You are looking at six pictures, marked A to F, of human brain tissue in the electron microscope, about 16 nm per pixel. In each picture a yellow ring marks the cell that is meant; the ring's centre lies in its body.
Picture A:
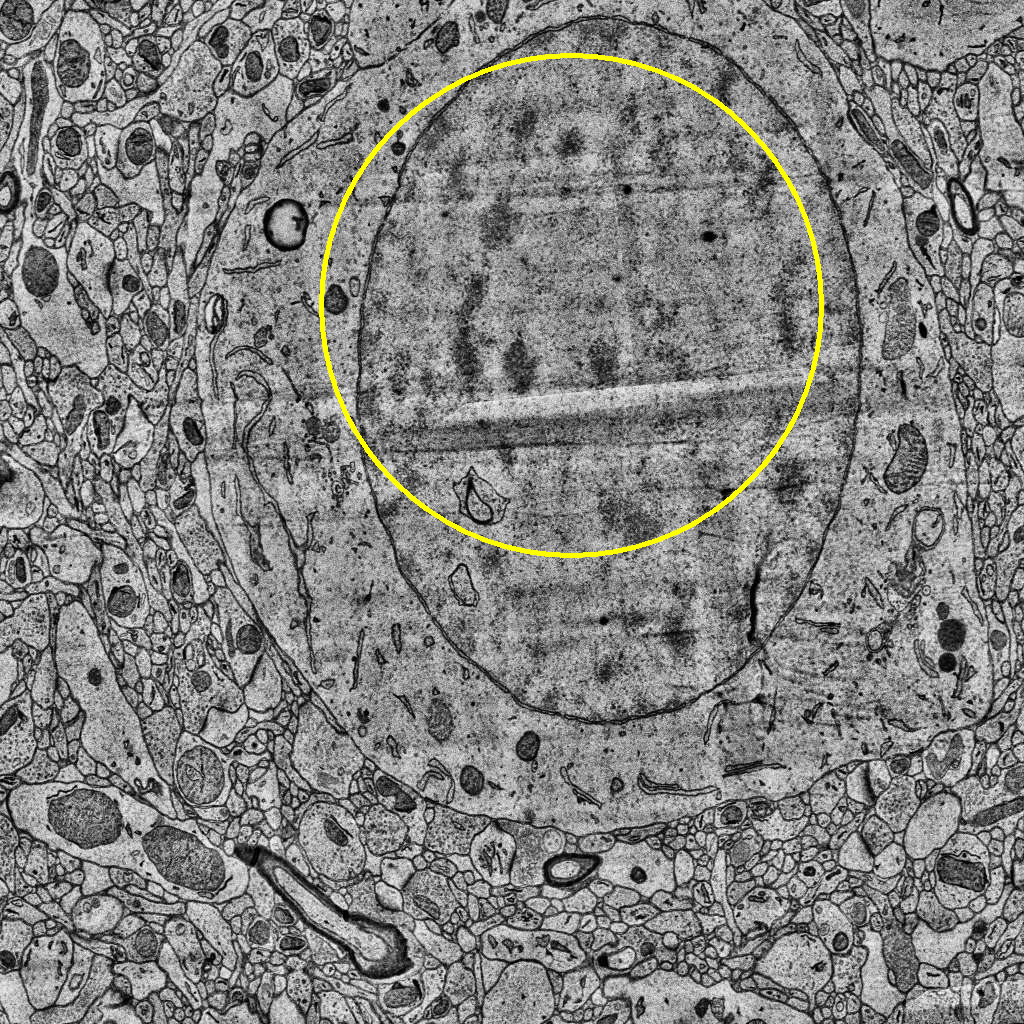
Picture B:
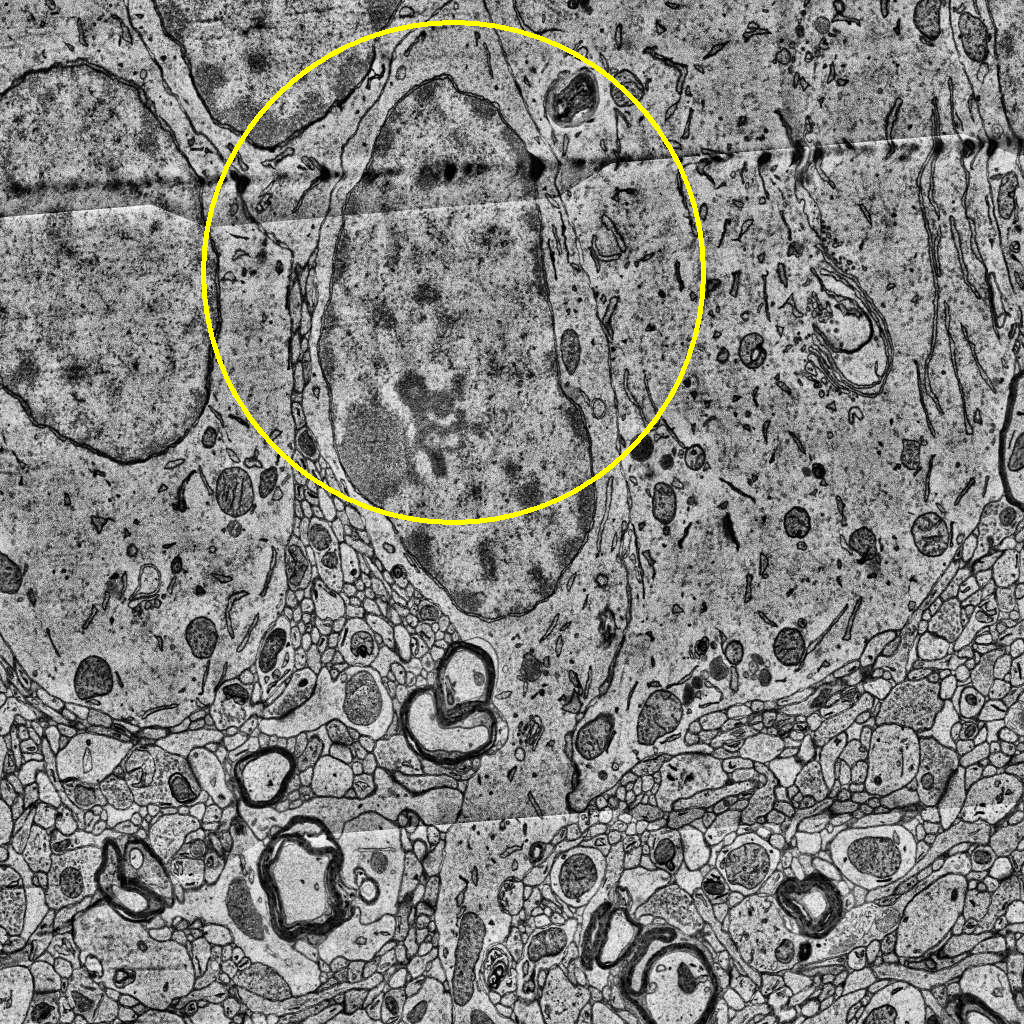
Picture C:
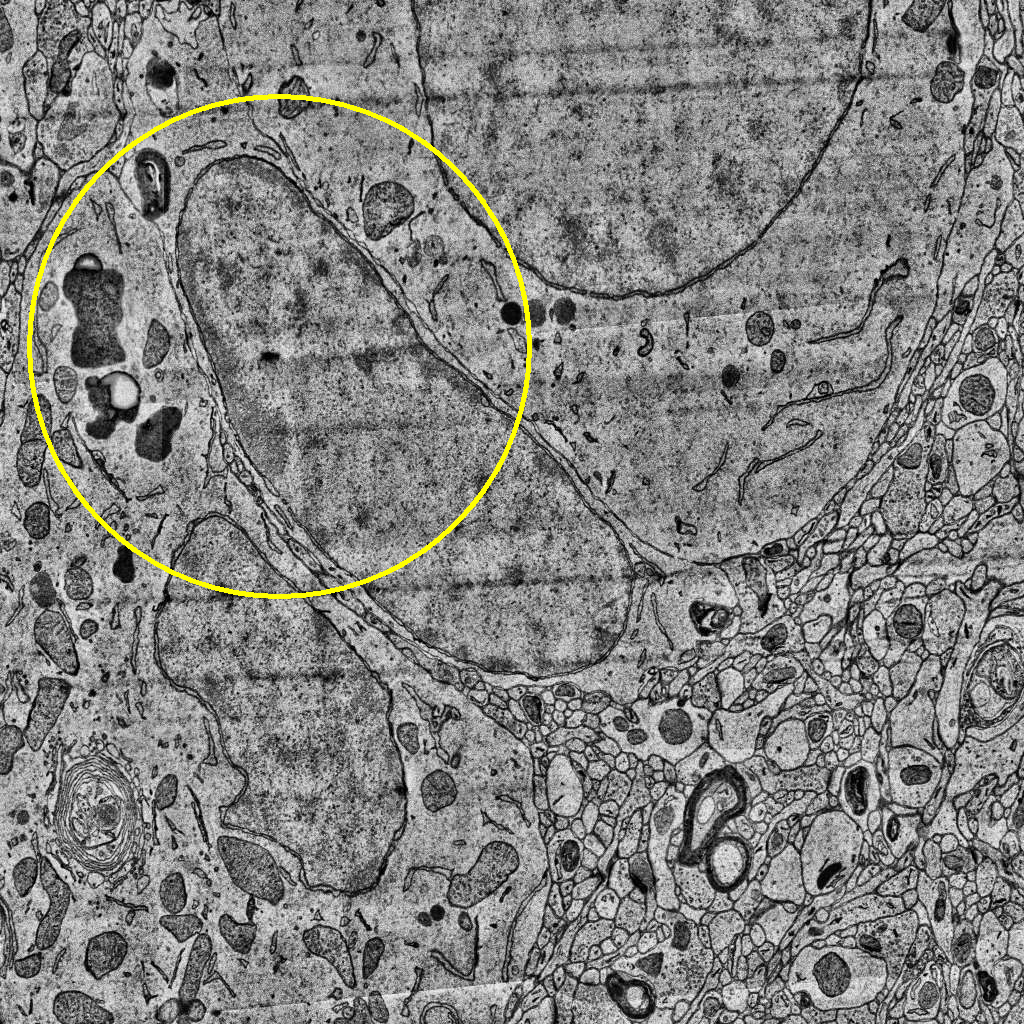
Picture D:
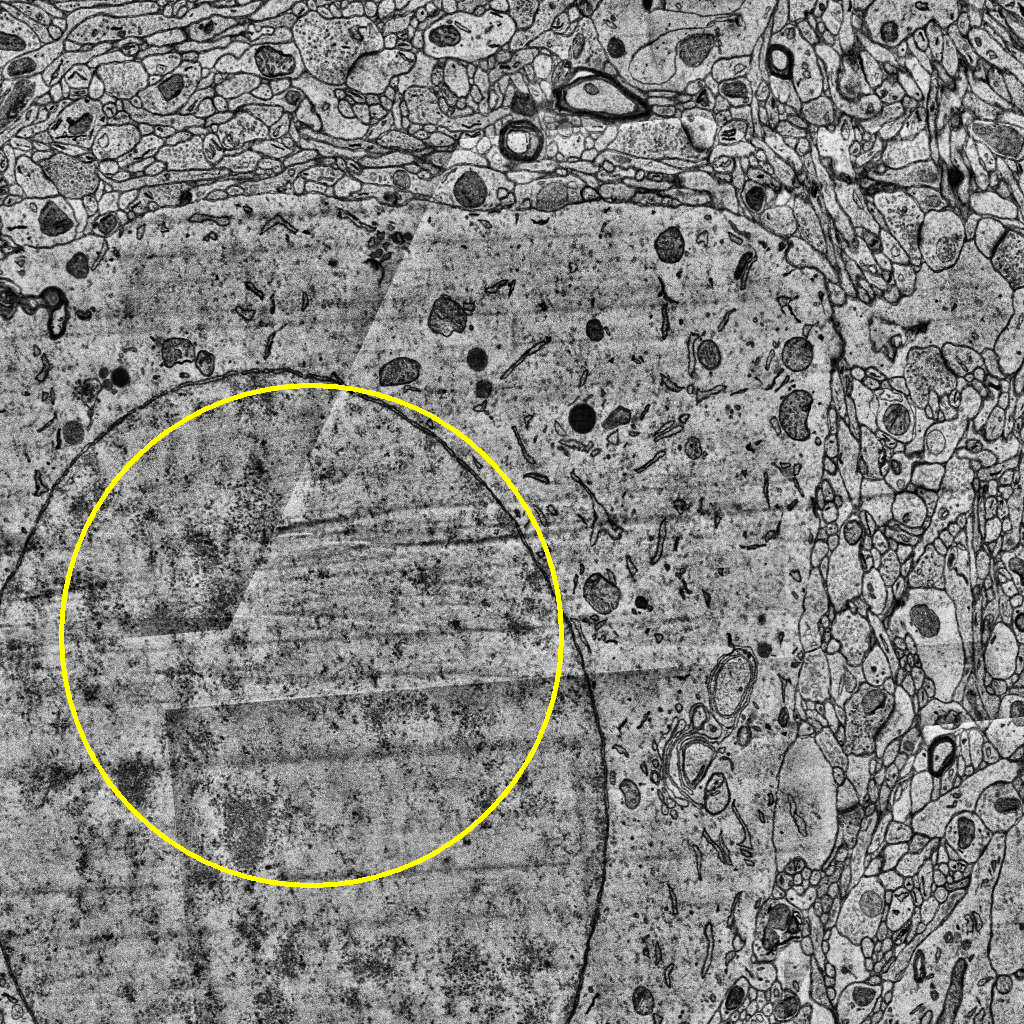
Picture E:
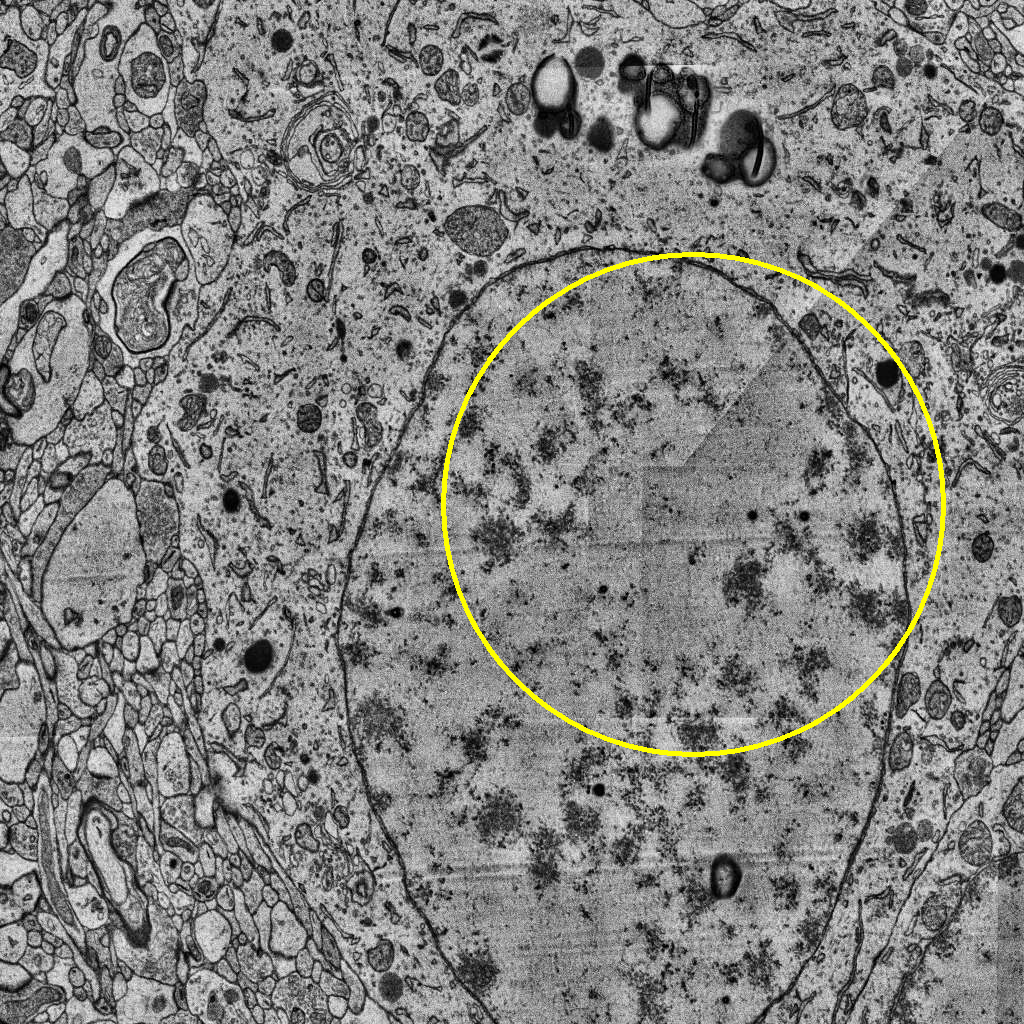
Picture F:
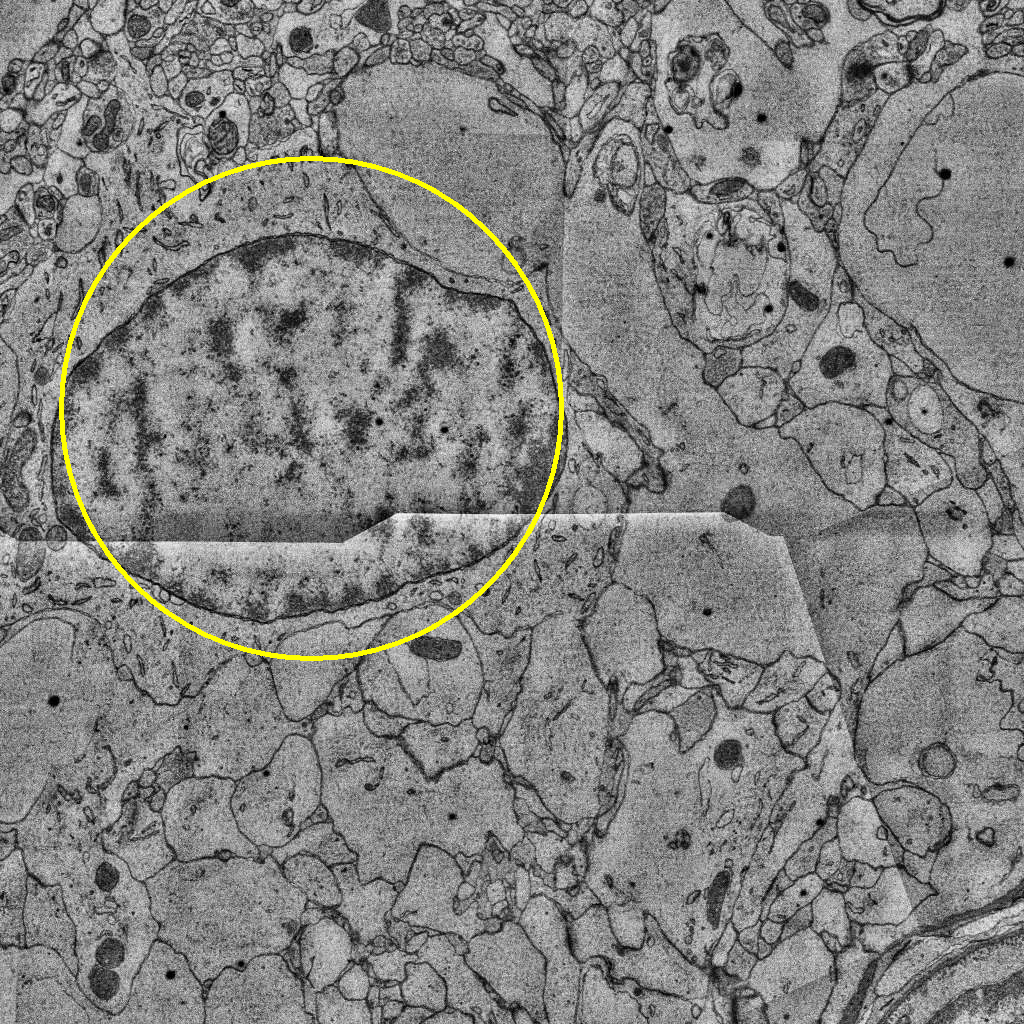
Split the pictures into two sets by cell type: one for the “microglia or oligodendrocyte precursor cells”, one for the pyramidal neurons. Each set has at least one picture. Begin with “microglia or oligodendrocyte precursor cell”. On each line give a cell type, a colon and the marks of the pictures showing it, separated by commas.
microglia or oligodendrocyte precursor cell: B, C, F
pyramidal neuron: A, D, E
